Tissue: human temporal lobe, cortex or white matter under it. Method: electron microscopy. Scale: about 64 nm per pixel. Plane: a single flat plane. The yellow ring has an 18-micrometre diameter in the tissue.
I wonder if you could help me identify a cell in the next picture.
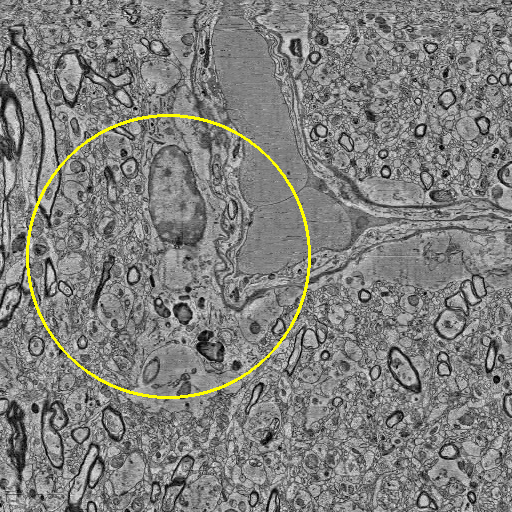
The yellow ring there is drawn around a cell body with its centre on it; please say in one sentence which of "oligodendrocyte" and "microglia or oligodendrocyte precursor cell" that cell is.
The yellow ring is centred on a microglial cell or oligodendrocyte precursor cell.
